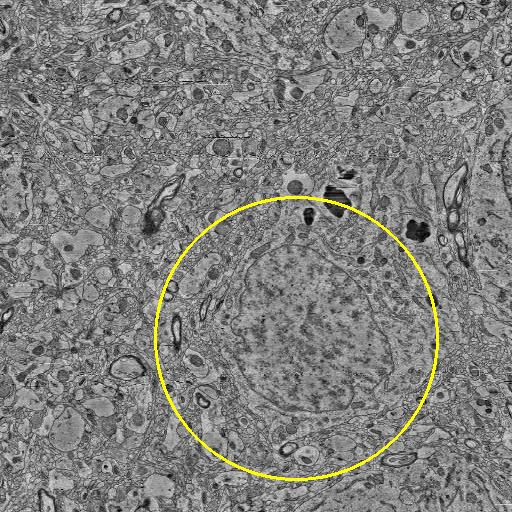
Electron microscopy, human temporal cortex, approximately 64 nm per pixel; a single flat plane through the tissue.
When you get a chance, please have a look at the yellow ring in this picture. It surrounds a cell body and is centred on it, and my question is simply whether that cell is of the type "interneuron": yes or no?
Yes, the cell is of that type.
